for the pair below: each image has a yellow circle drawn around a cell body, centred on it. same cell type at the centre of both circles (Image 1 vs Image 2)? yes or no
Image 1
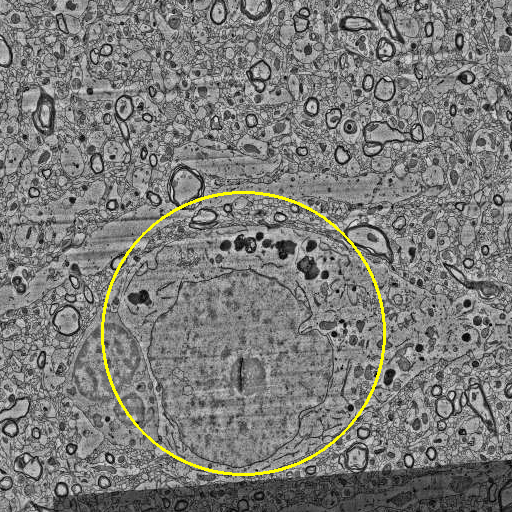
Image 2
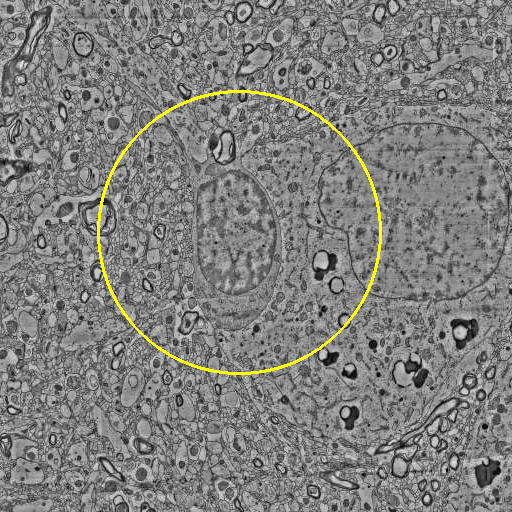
no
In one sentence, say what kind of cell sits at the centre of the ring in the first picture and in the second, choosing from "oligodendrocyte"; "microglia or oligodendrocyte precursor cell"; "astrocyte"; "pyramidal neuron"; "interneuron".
The first picture's ringed cell is a pyramidal neuron, while the second picture's is an oligodendrocyte.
